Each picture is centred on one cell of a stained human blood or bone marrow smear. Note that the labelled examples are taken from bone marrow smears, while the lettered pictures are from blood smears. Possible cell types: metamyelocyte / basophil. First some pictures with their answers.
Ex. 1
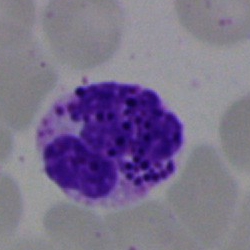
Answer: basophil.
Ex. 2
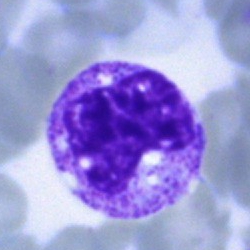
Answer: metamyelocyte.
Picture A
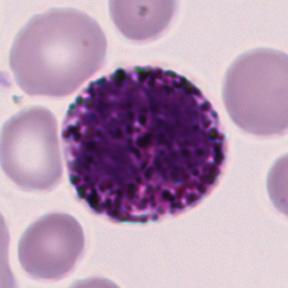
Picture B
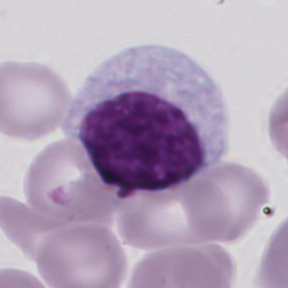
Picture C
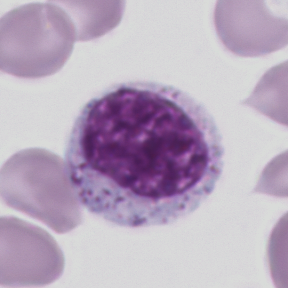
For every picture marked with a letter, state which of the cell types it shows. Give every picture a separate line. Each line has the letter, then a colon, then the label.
A: basophil.
B: metamyelocyte.
C: metamyelocyte.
